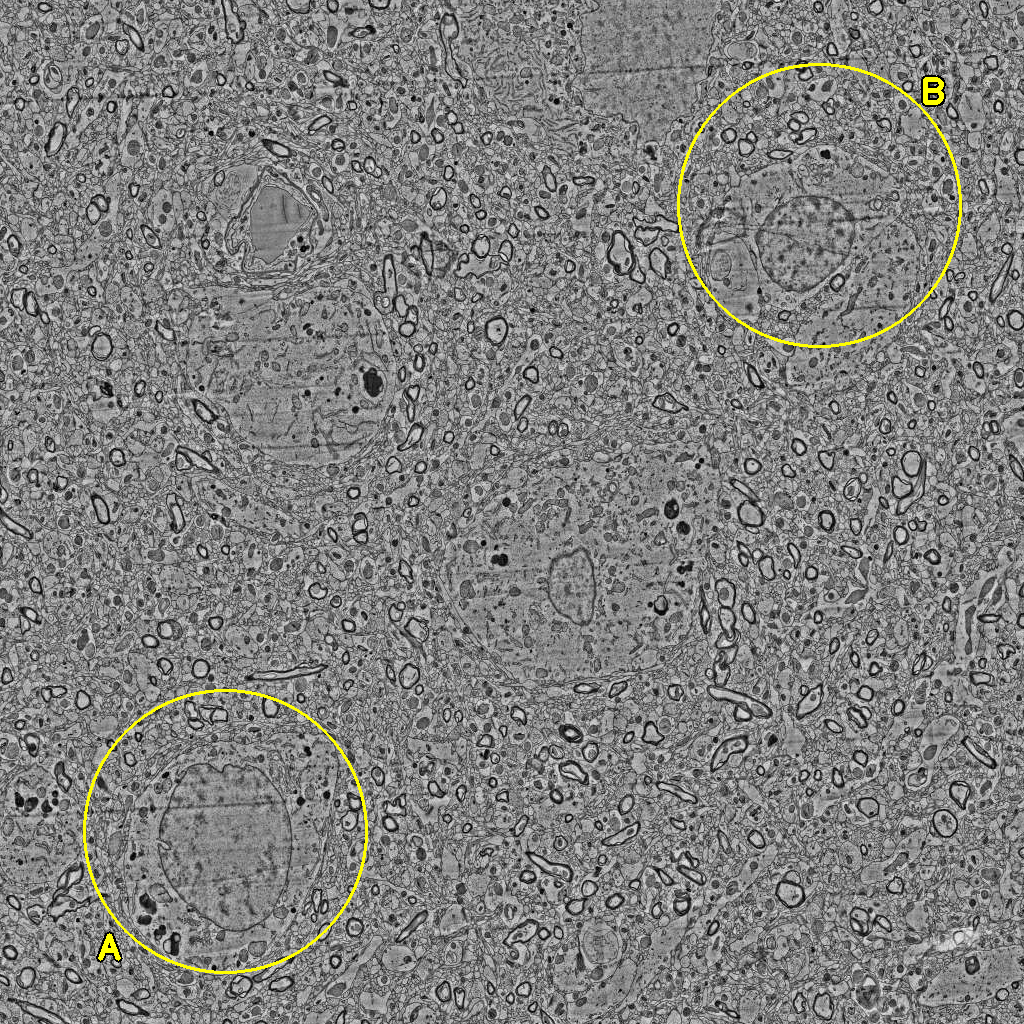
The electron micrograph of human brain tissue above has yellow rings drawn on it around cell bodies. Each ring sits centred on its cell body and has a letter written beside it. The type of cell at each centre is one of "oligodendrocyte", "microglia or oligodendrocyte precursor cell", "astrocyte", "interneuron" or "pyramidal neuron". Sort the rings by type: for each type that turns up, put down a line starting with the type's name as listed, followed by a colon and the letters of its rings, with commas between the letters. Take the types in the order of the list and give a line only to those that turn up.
interneuron: B
pyramidal neuron: A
